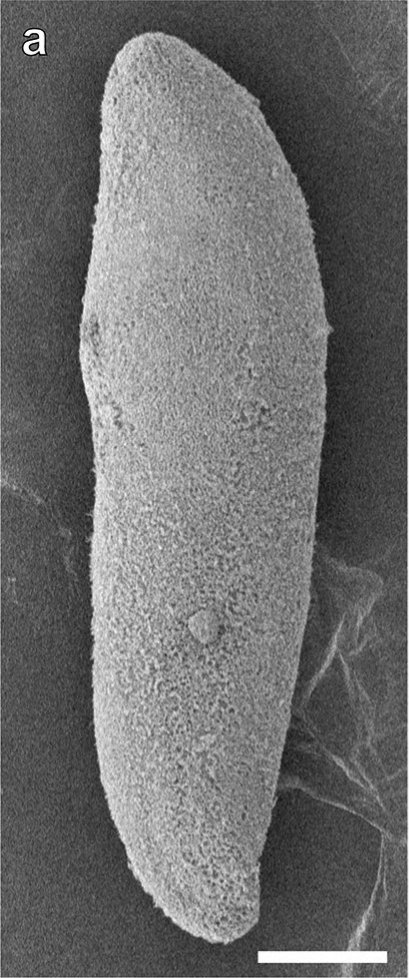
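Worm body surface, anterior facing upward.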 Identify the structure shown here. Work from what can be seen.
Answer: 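Epidermal cilia. The whole elongated body has a fine, uniform, fuzzy texture. The texture covers the surface from end to end.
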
